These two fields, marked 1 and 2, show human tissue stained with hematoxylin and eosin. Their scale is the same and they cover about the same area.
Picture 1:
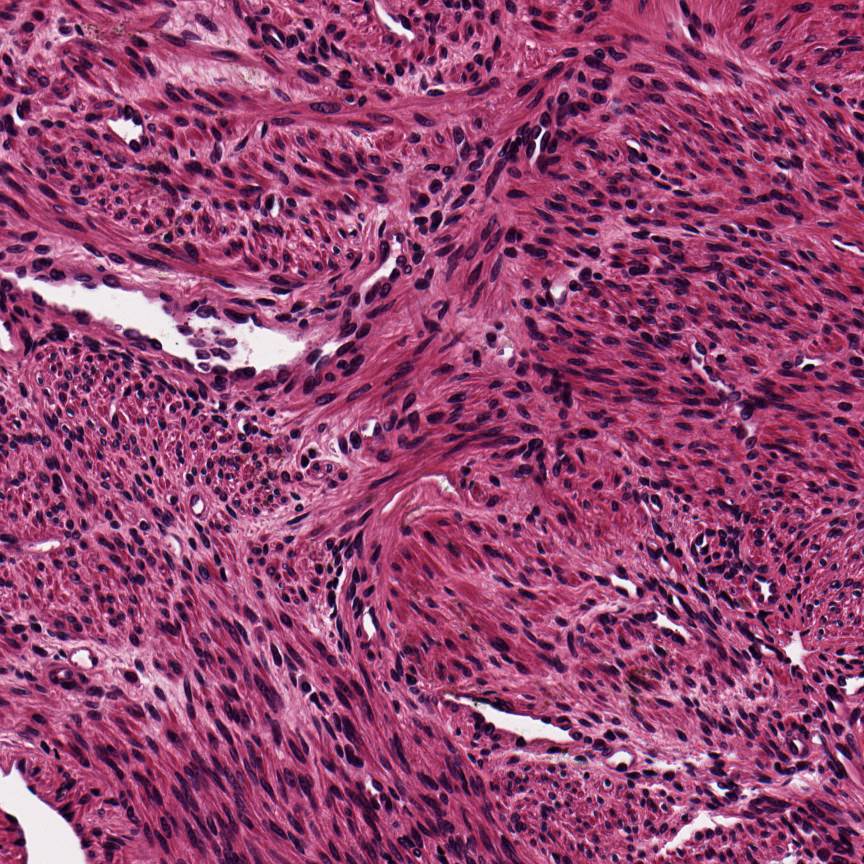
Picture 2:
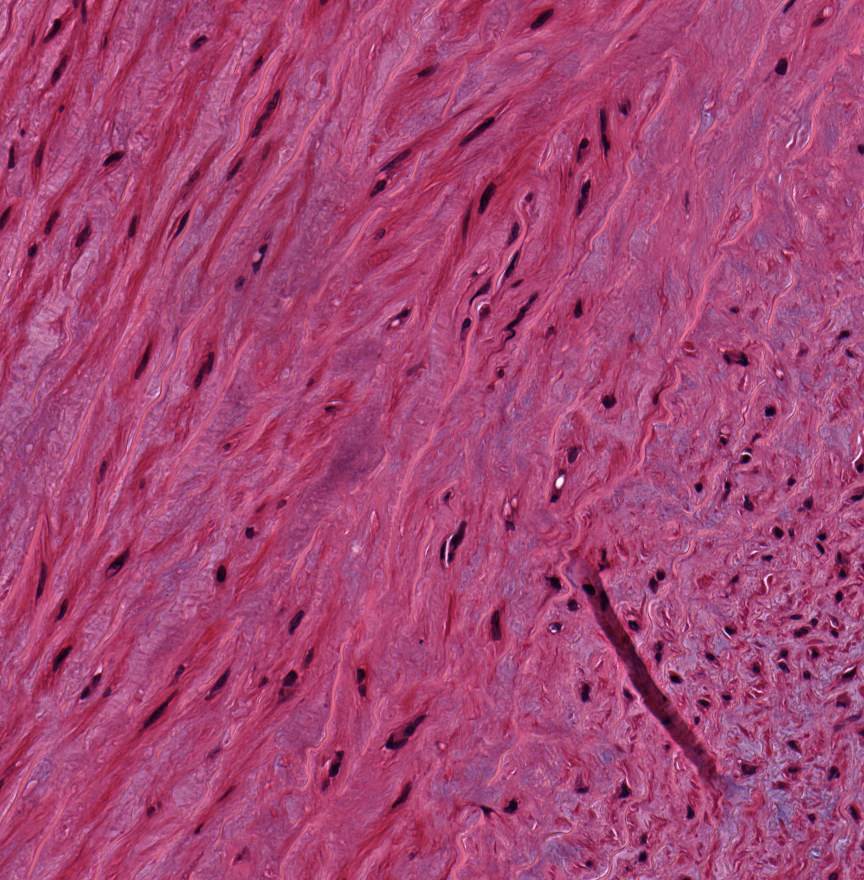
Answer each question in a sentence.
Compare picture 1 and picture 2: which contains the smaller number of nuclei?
The smaller number of nuclei is in picture 2.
